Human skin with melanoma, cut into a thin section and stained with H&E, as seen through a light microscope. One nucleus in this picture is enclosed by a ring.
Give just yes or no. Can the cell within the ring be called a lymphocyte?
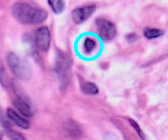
yes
